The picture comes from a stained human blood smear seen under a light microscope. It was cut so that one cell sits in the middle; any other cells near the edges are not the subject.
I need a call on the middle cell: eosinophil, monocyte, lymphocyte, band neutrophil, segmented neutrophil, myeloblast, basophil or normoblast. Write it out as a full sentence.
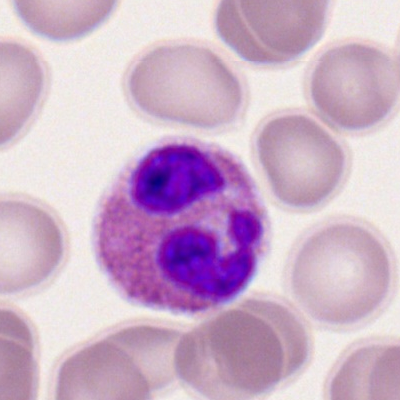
Standing at the centre of this crop is an eosinophil.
